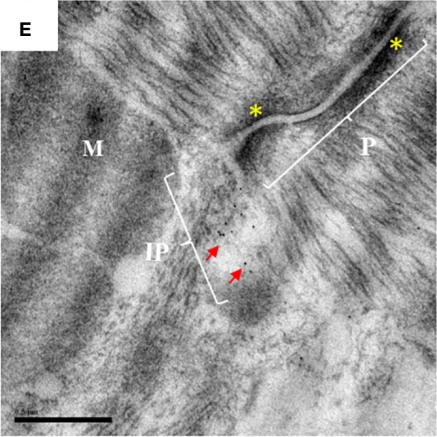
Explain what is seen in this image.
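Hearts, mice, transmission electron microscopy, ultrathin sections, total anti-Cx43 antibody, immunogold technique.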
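Intercalated disc between cardiac muscle cells with striated myofilaments. An oblique stretch of paired membranes bears thick dense plaques on both sides, desmosomes, with filaments fanning into them. The surrounding cytoplasm shows pale, loosely textured areas between the myofilament bundles.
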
